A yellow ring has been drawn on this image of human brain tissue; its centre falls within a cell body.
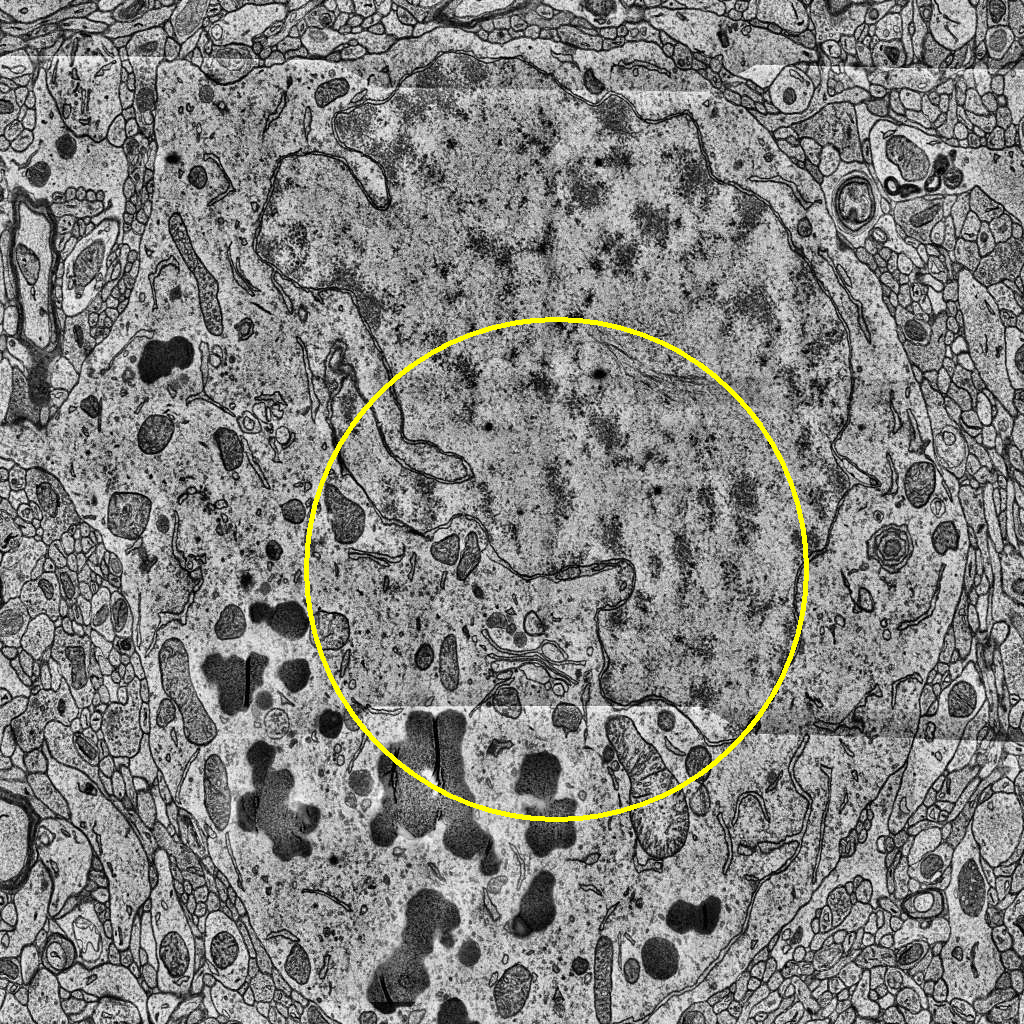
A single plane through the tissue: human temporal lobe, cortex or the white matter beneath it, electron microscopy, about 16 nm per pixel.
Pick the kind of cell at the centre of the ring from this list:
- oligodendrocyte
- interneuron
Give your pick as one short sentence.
The centre of the ring holds an interneuron.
